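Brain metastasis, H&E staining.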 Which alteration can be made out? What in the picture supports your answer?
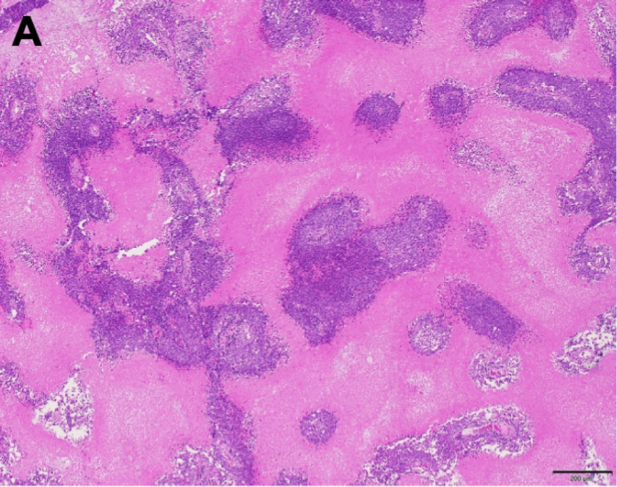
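Large pale pink areas lack nuclei. Islands and bands of dark purple cells are separated by these pale pink areas. On this evidence: extensive necrotic tissue.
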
